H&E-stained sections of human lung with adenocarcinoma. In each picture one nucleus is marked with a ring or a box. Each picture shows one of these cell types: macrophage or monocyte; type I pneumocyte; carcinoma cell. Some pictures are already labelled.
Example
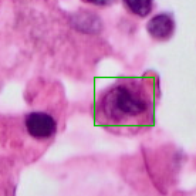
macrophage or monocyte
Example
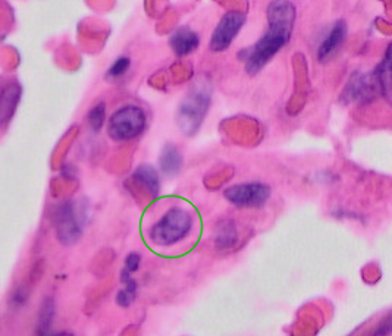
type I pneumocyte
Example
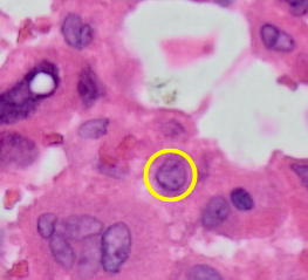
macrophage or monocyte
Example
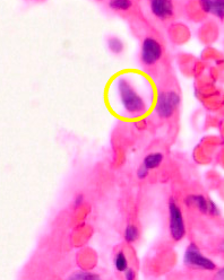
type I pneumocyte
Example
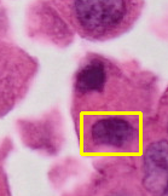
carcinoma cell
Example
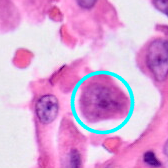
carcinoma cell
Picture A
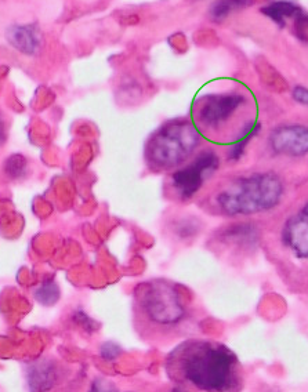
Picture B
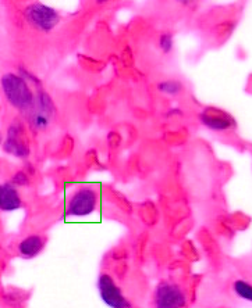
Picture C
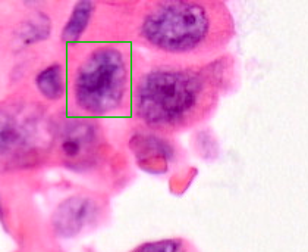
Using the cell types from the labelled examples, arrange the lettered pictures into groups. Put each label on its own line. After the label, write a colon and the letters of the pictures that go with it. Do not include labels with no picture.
type I pneumocyte: B
carcinoma cell: A, C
